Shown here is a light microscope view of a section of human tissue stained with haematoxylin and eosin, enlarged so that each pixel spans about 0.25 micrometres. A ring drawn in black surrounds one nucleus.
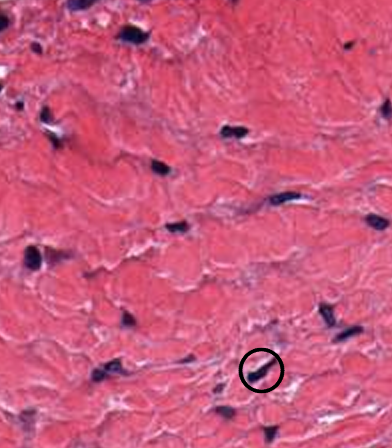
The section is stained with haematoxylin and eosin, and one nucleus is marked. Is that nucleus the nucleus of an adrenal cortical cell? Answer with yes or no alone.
no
